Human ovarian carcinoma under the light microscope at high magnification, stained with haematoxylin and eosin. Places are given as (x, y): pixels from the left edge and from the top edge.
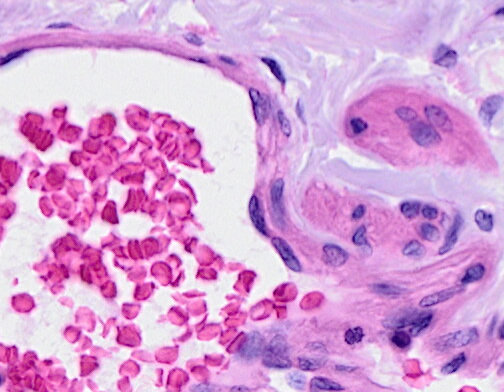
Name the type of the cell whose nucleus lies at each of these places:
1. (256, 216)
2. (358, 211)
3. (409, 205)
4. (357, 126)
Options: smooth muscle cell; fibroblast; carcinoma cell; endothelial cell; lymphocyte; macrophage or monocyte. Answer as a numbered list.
1. endothelial cell
2. smooth muscle cell
3. smooth muscle cell
4. smooth muscle cell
